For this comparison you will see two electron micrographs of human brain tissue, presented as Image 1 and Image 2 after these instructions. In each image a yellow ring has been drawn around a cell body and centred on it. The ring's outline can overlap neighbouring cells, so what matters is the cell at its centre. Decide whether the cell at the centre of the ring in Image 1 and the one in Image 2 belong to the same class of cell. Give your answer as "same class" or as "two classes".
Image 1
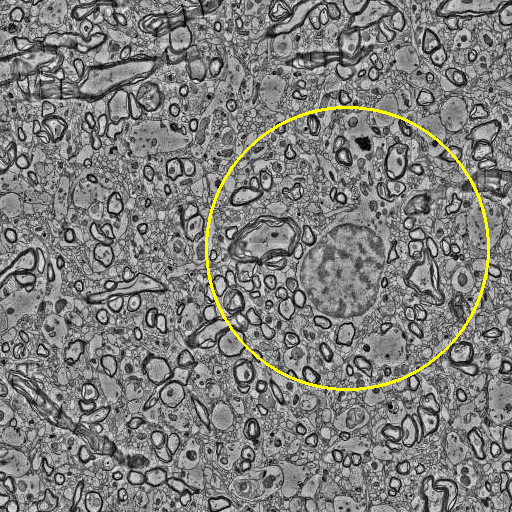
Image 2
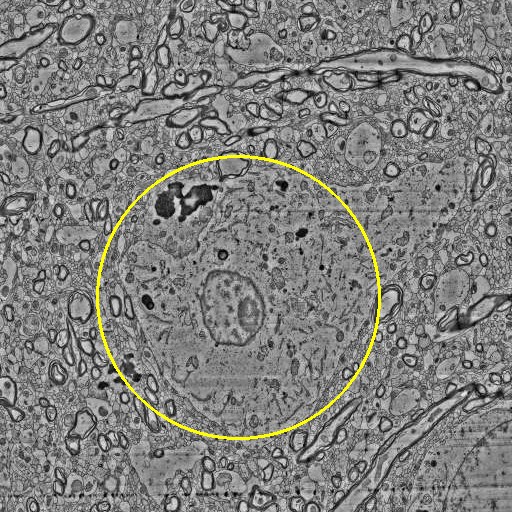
two classes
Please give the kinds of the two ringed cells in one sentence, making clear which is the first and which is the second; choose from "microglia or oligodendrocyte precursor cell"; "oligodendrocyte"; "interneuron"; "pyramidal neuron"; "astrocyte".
In the second picture the ringed cell is a pyramidal neuron; in the first it is an oligodendrocyte.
